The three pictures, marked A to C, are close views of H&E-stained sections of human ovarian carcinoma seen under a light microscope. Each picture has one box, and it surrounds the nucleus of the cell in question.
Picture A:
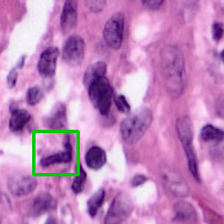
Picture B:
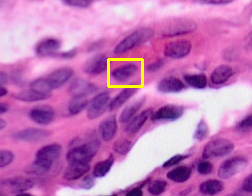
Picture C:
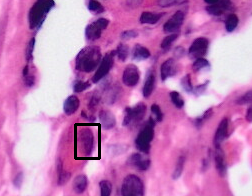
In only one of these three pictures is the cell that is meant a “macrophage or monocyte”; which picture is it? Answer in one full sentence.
The picture with the “macrophage or monocyte” is A.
